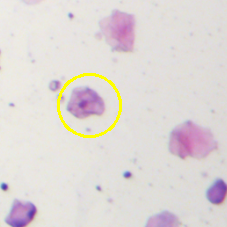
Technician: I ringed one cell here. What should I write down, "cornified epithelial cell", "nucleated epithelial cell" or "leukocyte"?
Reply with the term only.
nucleated epithelial cell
